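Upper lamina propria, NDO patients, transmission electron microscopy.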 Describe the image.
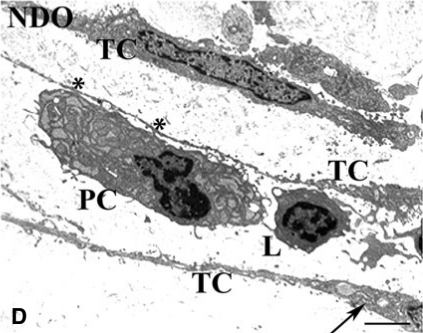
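Several slender, elongated cells with long, thin processes run roughly parallel through the loose connective tissue. Between them lies a large oval cell whose cytoplasm is packed with many swollen membrane-bound cisternae around a nucleus with coarse dark chromatin, and beside it a small round cell with a dense nucleus and scanty cytoplasm. The thin processes pass right alongside the large cell, touching its surface.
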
